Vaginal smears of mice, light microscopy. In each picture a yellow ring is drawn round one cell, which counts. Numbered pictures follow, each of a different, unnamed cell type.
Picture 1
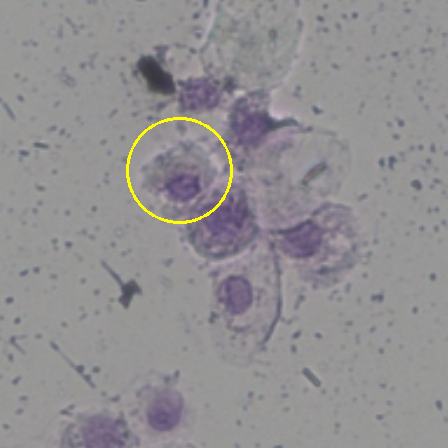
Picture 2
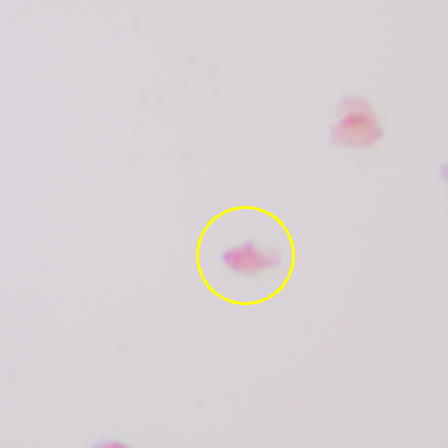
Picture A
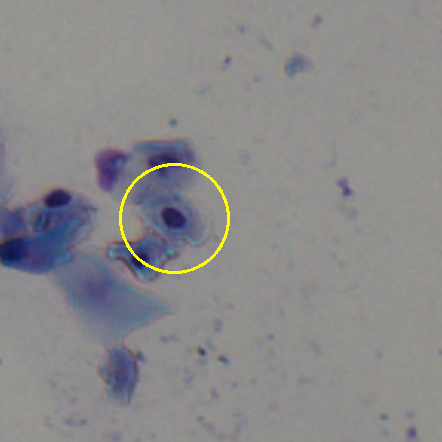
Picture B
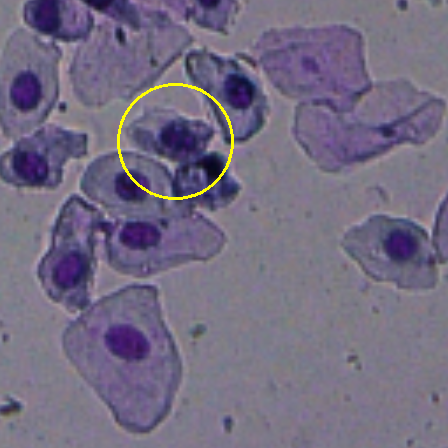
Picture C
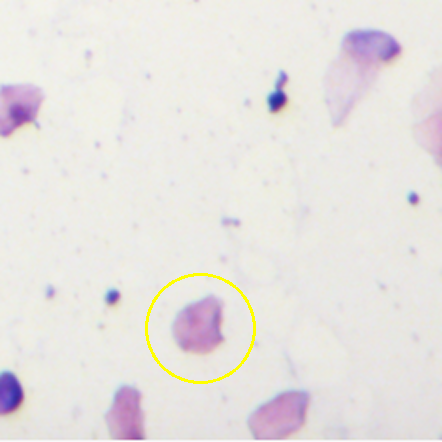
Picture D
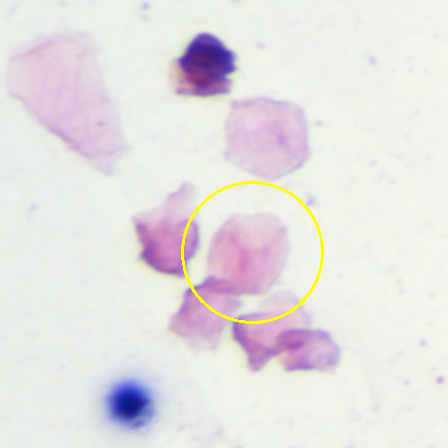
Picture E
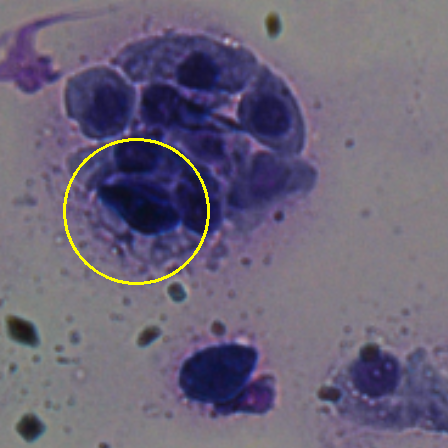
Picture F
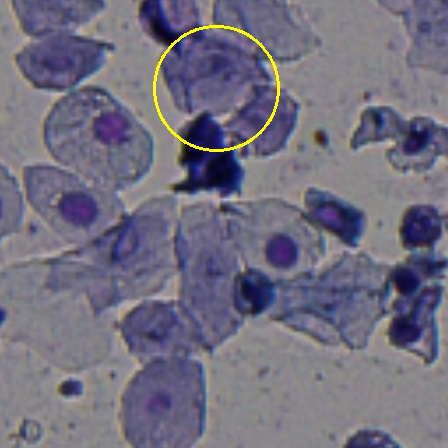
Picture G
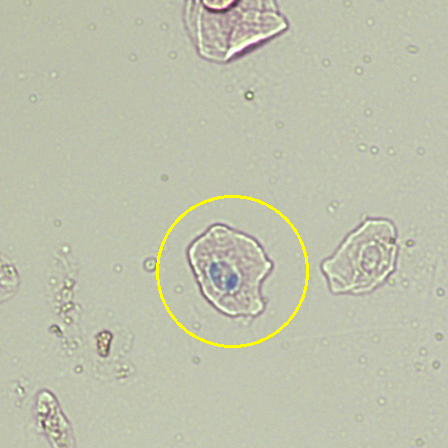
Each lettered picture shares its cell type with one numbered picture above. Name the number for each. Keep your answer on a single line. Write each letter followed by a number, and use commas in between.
A 1, B 1, C 2, D 2, E 1, F 2, G 1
